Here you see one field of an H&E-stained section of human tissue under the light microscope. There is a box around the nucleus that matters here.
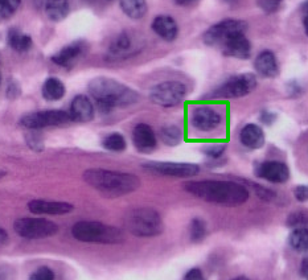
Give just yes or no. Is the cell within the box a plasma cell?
yes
